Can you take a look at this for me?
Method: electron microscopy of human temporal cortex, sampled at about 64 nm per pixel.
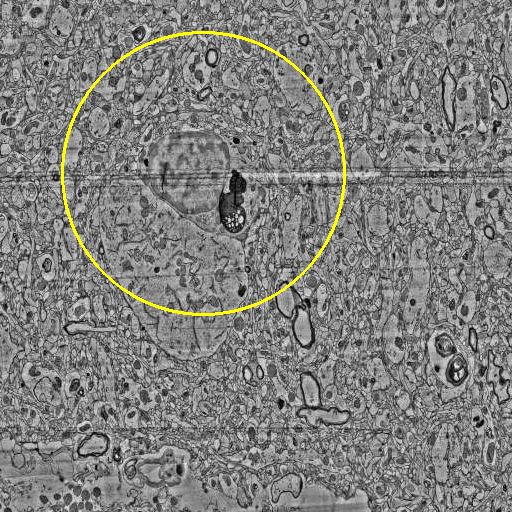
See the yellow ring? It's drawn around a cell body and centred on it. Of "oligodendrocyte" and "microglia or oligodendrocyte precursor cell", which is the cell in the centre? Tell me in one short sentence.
The one in the centre is an oligodendrocyte.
